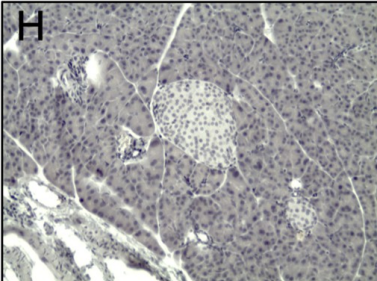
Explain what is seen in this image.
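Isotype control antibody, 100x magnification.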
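This section of pancreas shows a large round islet and a few smaller cell clusters embedded in exocrine tissue, none of them stained brown. The islet appears as a pale, rounded area of loosely textured cells with small nuclei, clearly set off from its surroundings. The surrounding acinar tissue is made of densely packed grey cells with dark nuclei. Thin strands of connective tissue and small ducts lie between lobules.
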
